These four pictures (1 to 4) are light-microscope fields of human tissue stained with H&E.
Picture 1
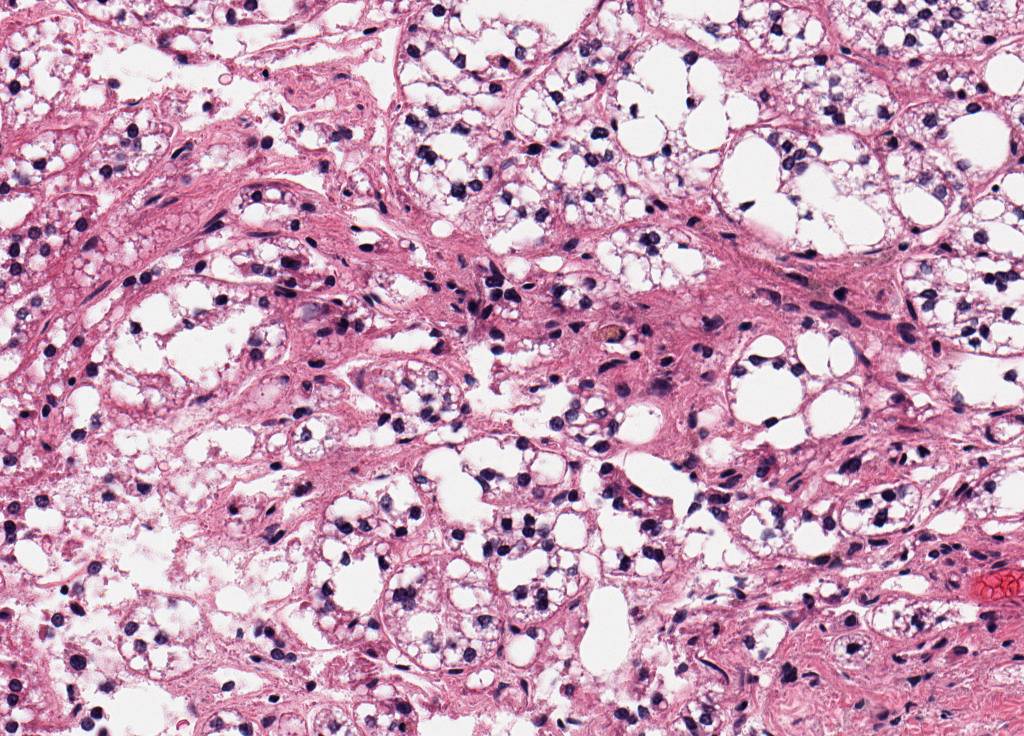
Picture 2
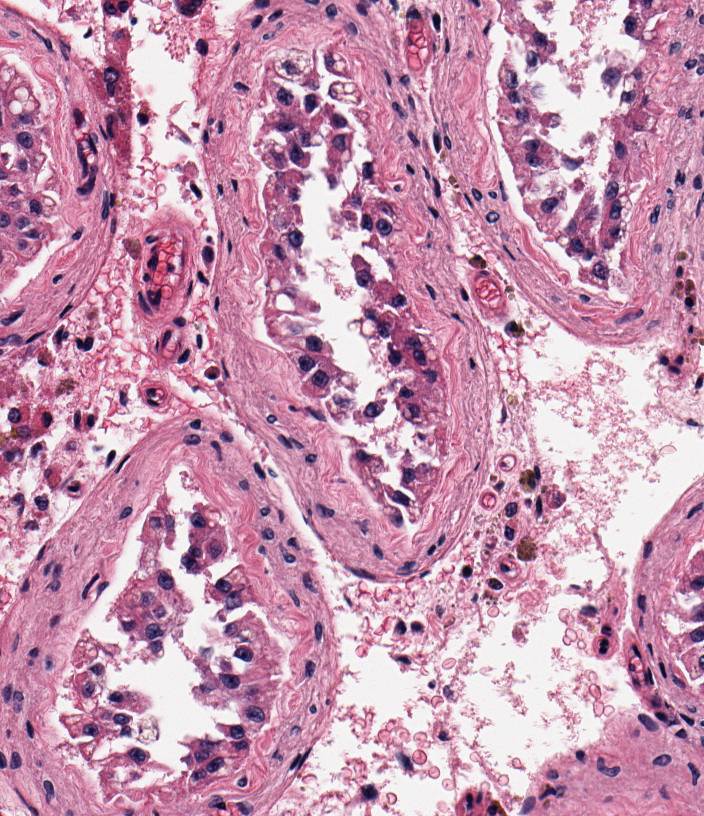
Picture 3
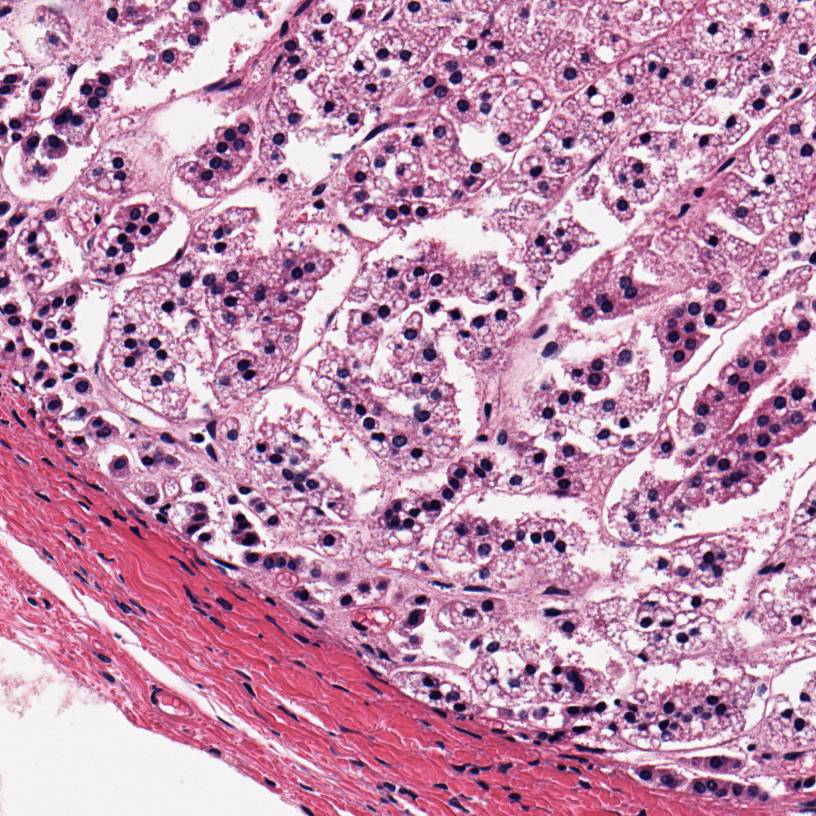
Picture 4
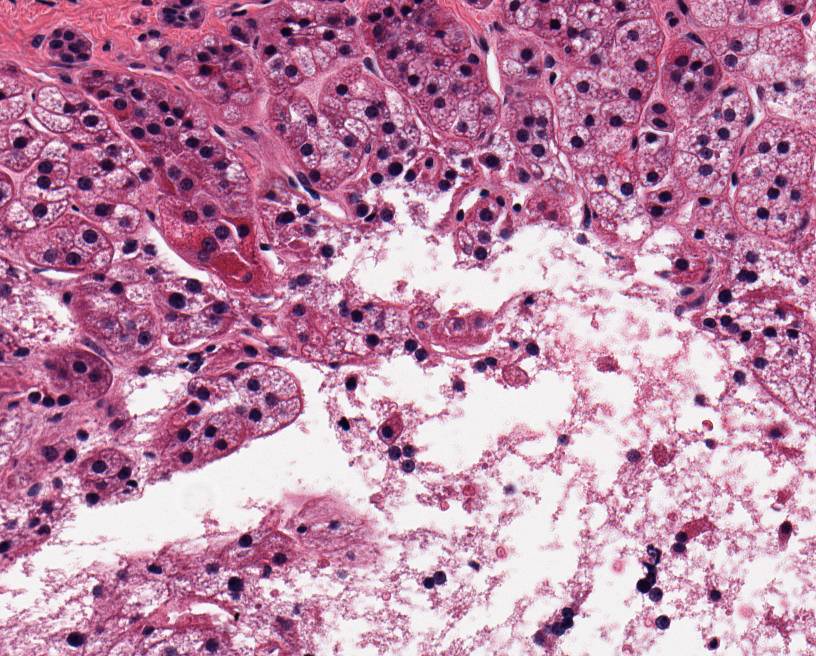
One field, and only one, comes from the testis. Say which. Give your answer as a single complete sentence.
Picture 2 comes from the testis.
